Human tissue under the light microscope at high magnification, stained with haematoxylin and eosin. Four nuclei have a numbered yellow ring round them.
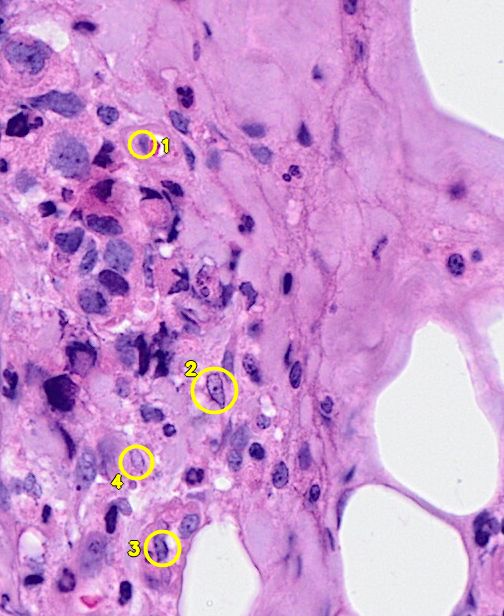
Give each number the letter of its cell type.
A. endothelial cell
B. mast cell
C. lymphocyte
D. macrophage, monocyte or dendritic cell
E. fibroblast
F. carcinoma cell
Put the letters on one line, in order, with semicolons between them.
A; D; A; D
